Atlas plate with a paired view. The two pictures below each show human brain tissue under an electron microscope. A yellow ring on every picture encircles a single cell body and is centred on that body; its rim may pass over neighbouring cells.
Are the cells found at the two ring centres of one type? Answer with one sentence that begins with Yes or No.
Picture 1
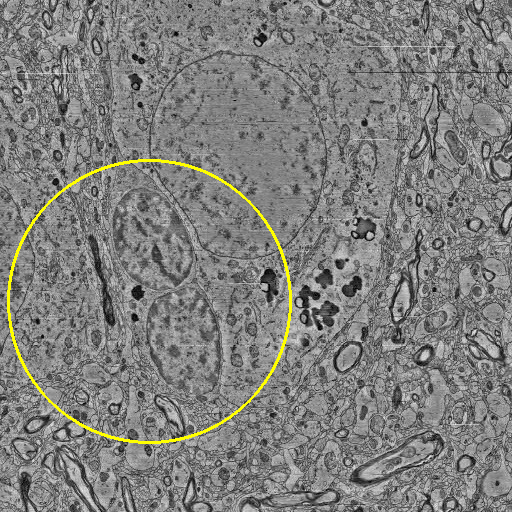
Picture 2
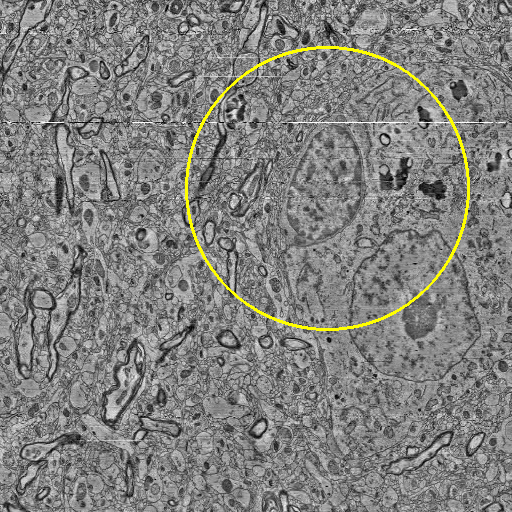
Yes, the two cells lying at the centres of the rings share a single type.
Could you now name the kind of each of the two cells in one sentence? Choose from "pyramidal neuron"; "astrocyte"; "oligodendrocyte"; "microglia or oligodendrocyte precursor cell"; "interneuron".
Both the first and the second picture show an oligodendrocyte in the ring.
